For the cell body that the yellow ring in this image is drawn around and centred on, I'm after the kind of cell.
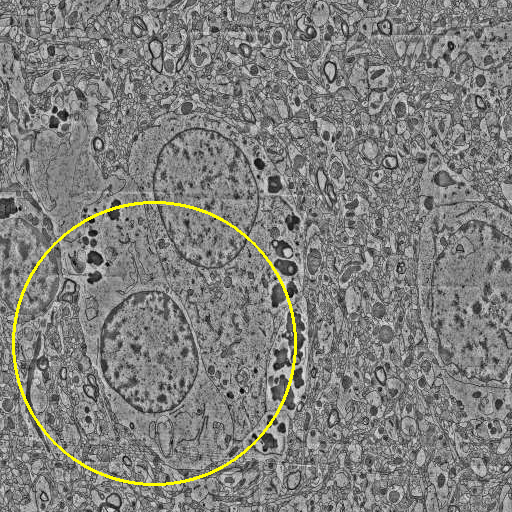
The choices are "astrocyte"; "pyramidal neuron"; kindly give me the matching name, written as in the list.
astrocyte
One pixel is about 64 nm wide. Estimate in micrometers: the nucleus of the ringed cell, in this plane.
In this plane, about 8 micrometres in length and 6 in width.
